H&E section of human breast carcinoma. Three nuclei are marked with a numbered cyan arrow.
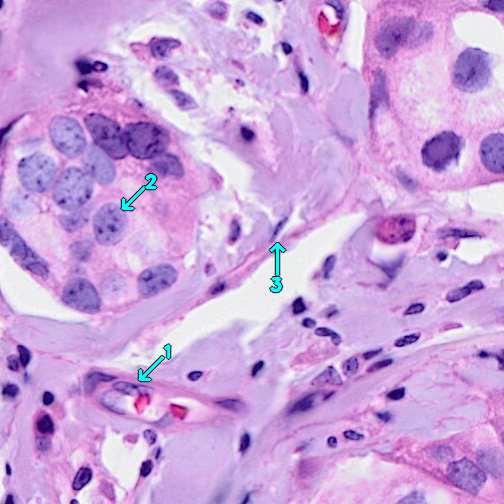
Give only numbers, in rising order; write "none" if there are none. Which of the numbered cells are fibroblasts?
3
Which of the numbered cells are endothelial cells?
1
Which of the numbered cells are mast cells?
none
